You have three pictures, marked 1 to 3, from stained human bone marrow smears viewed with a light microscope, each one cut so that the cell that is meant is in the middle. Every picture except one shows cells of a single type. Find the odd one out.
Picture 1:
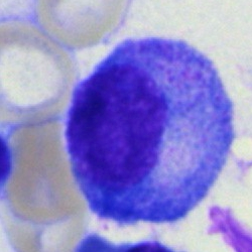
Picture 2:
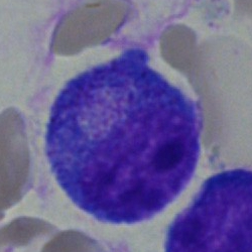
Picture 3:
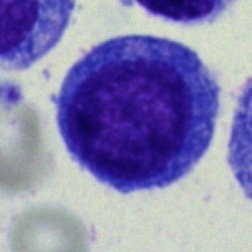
3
